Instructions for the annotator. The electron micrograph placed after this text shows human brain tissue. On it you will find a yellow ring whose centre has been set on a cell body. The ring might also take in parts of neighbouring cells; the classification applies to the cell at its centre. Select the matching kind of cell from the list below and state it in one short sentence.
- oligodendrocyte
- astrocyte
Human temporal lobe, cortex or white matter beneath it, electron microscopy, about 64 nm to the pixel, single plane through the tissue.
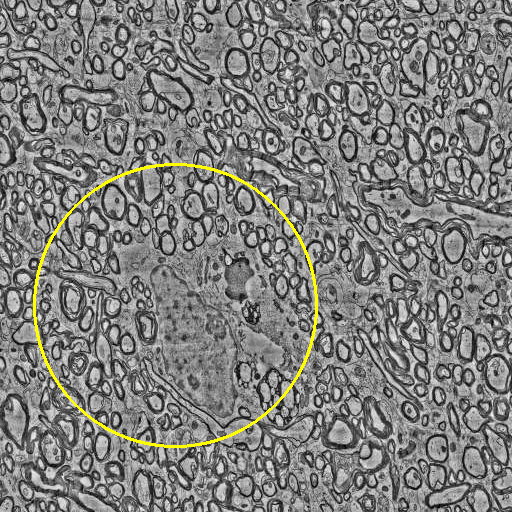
The ring is drawn on the cell body of an astrocyte.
